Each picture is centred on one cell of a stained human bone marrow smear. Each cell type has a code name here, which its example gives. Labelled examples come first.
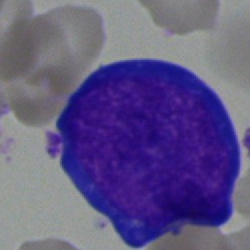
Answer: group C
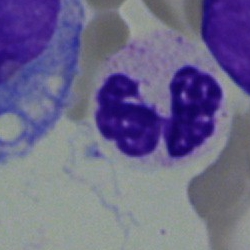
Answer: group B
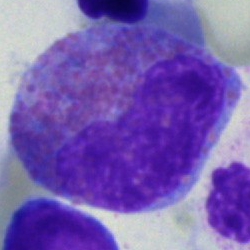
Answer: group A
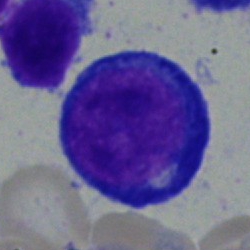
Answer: group C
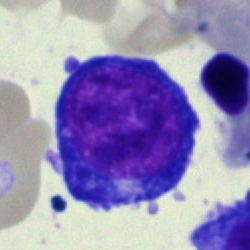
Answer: group C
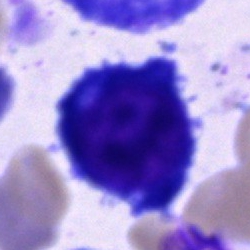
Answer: group C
